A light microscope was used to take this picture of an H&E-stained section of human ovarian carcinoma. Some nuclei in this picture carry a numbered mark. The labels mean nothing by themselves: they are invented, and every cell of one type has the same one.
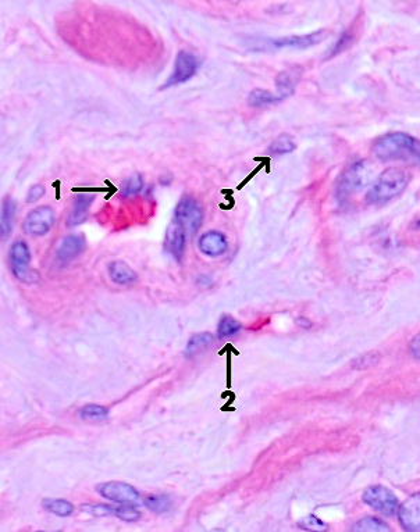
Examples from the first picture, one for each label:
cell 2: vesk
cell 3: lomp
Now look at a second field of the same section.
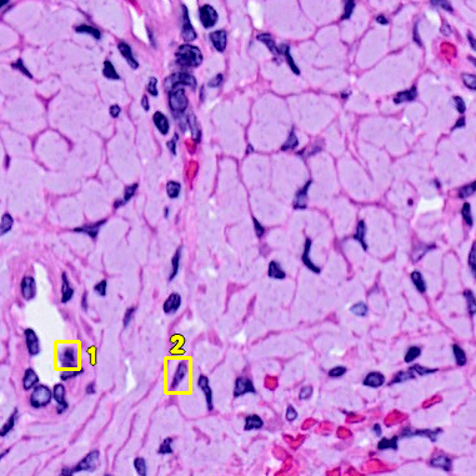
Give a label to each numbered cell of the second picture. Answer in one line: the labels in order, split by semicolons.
vesk; lomp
